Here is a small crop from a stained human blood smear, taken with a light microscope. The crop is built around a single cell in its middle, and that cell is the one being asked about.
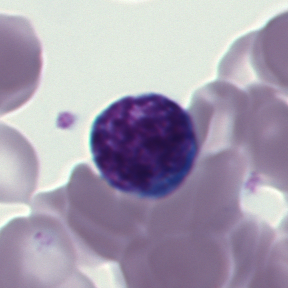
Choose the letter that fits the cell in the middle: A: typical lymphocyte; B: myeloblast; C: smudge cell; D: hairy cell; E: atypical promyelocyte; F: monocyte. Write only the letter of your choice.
A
